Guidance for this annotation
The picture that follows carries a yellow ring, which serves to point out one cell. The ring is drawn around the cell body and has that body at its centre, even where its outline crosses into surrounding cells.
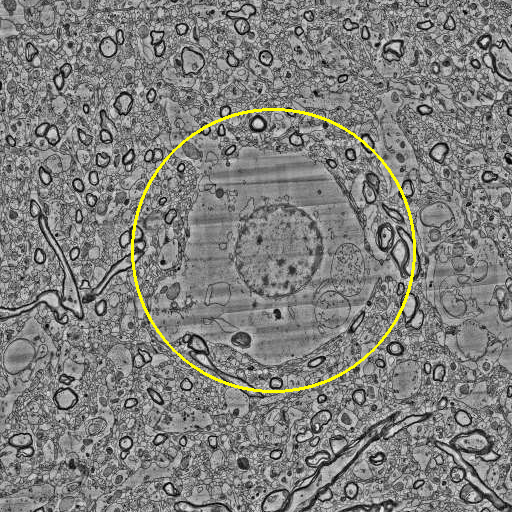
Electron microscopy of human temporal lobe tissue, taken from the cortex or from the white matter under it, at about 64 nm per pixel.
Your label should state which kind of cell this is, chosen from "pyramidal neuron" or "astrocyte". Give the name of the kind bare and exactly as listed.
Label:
astrocyte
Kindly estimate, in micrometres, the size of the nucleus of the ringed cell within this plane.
In this plane the nucleus is about 6 micrometres across.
